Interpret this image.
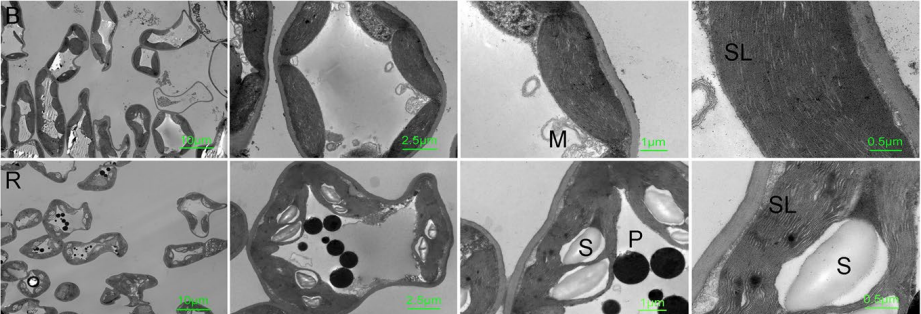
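Leaf cells are shown at rising magnification. Each has a large pale central vacuole, and elongated, lens-shaped chloroplasts lie flattened against the thin cell walls.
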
